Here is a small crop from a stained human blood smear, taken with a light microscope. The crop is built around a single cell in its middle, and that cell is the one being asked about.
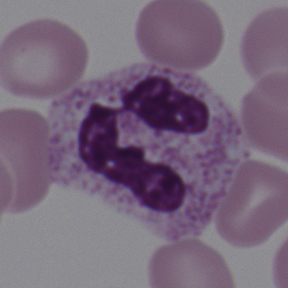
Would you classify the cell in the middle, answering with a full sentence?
The cell that lies at the centre of the crop is a segmented neutrophil.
